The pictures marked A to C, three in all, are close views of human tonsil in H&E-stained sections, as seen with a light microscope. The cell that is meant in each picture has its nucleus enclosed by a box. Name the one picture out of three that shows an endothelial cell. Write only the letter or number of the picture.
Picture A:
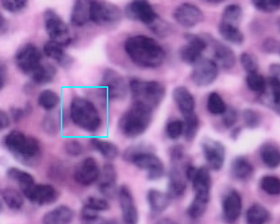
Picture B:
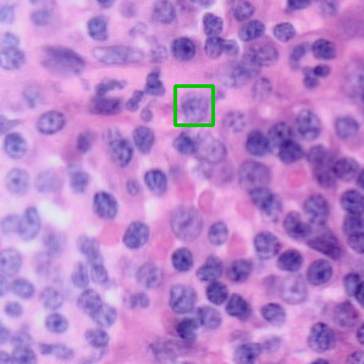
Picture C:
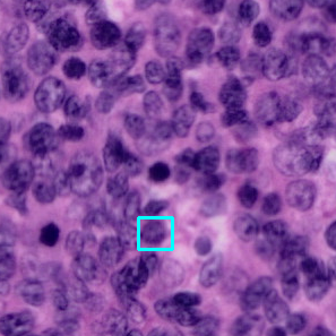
B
